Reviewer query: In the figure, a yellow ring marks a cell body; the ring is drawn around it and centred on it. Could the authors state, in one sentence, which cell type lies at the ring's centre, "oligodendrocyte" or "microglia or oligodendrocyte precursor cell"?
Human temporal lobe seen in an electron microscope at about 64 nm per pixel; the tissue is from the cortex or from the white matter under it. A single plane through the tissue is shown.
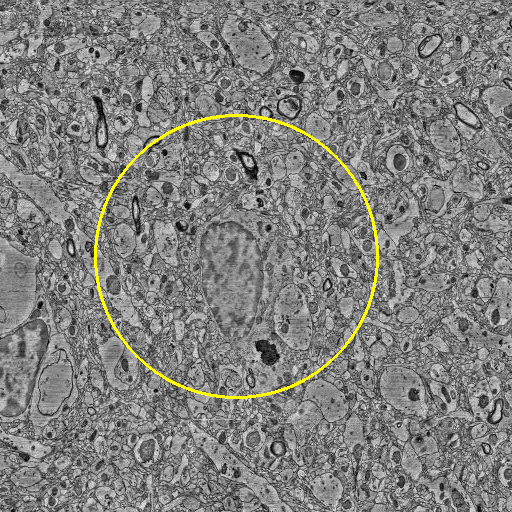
The ring is centred on an oligodendrocyte.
